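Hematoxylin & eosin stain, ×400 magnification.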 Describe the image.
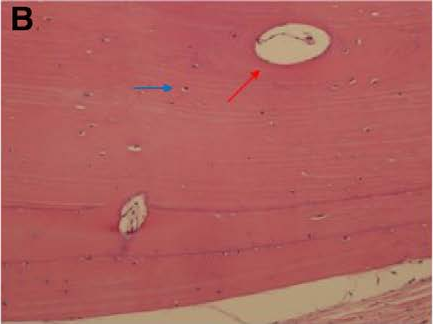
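Compact lamellar bone is seen as a broad, dense, pink-staining matrix marked by fine parallel lines of lamellae. Small osteocytes lie singly in tiny lacunae scattered through the matrix, each showing a small dark nucleus, and they are aligned roughly along the lamellae. An oval clear Haversian canal sits in the upper part of the field, containing a thin strand of tissue, and a second, smaller canal with loose contents lies lower on the left. A darker line crosses the matrix horizontally. At the lower right edge a strip of looser fibrous tissue borders the bone.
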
